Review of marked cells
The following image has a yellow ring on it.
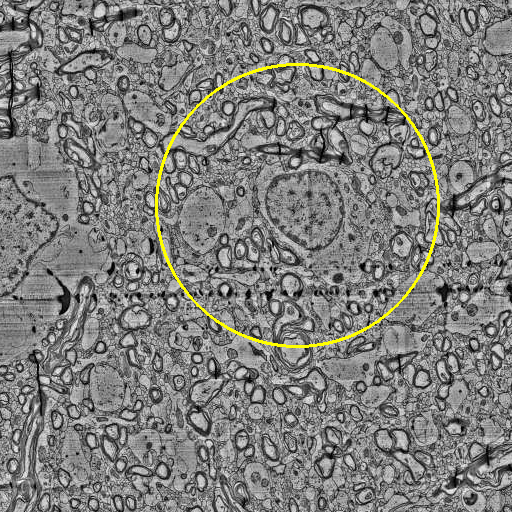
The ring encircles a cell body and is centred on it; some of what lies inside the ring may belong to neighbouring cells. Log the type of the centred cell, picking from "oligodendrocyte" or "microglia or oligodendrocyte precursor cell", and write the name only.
microglia or oligodendrocyte precursor cell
